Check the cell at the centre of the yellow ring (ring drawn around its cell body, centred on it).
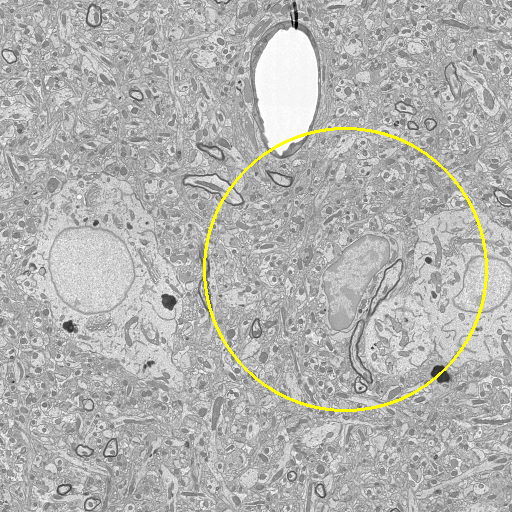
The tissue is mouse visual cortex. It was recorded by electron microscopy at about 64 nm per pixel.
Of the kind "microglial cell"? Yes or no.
yes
